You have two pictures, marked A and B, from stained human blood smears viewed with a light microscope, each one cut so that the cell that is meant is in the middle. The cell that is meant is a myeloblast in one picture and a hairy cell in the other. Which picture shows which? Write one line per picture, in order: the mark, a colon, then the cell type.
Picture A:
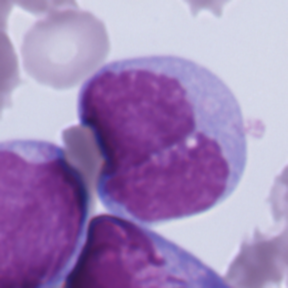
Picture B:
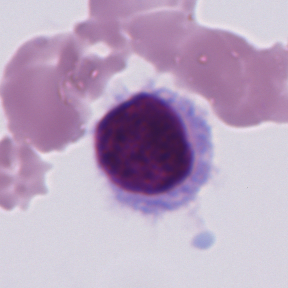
A: myeloblast
B: hairy cell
